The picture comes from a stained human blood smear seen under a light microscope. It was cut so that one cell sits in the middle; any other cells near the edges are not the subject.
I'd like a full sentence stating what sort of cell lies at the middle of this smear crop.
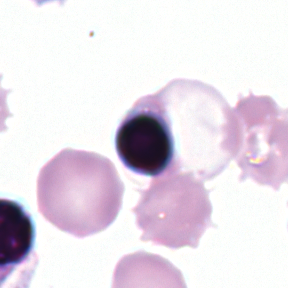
This particular crop is centered on a normoblast.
